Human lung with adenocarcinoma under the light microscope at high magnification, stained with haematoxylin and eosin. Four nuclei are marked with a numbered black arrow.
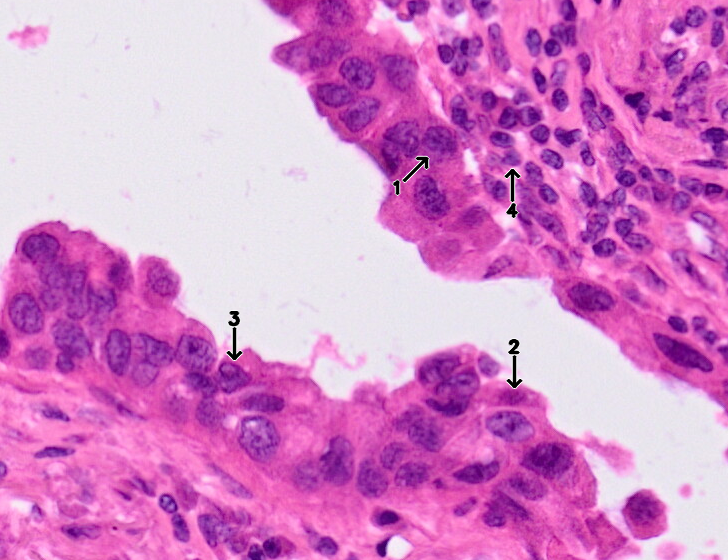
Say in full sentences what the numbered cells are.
Cells 1, 2 and 3 are carcinoma cells. Cell 4 is a lymphocyte.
